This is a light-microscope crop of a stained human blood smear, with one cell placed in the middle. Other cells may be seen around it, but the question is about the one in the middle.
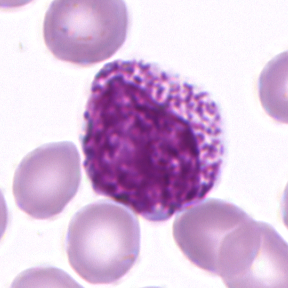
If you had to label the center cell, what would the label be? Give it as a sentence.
For this crop, the central cell is a metamyelocyte.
